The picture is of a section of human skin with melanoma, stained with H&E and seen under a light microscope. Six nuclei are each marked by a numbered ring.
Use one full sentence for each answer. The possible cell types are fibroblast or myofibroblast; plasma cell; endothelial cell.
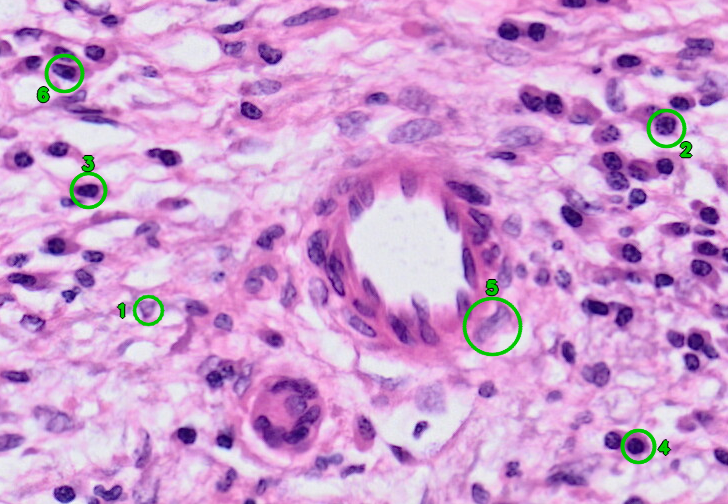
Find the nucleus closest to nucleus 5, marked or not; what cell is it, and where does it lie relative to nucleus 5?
It is an endothelial cell, whose nucleus lies above and to the left of nucleus 5.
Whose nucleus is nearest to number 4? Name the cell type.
The nucleus nearest to number 4 is that of a plasma cell.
